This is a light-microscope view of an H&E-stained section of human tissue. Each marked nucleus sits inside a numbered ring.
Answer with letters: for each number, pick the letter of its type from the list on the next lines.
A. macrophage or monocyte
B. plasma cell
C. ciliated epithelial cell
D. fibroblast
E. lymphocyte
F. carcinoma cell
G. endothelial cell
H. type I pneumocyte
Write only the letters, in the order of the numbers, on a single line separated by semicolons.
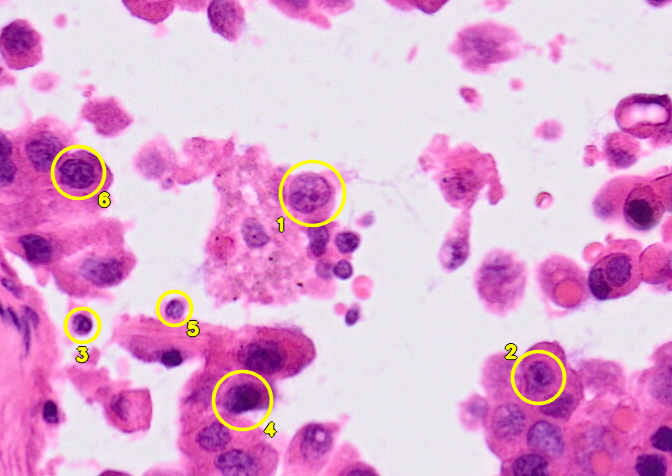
F; F; E; F; E; F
